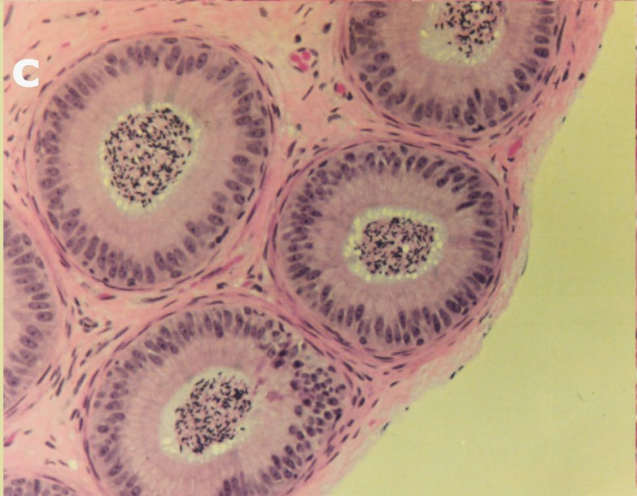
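Cross-sections of the epididymal duct lined by a tall pseudostratified columnar epithelium. Elongated, dark purple nuclei form a row toward the base, with a few small round basal cell nuclei along the basement membrane; the apical cytoplasm is pale pinkish-grey and forms a broad band toward the lumen. The lumina are small and round, each containing a compact mass of dark spermatozoa. A thin layer of flattened cells with elongated nuclei encircles each duct, and pale pink connective tissue with scattered spindle-shaped nuclei and small blood vessels separates the ducts.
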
